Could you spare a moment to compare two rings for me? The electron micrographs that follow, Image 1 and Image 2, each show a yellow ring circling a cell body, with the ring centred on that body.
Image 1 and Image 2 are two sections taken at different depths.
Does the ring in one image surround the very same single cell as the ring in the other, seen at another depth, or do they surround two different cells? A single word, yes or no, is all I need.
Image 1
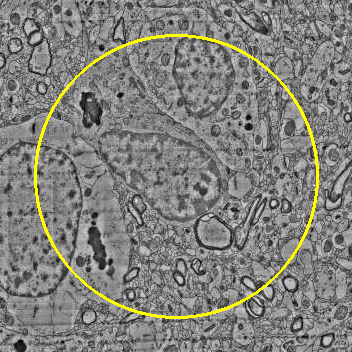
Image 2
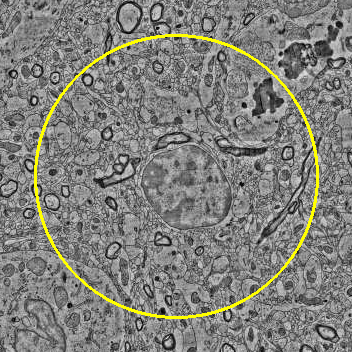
no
